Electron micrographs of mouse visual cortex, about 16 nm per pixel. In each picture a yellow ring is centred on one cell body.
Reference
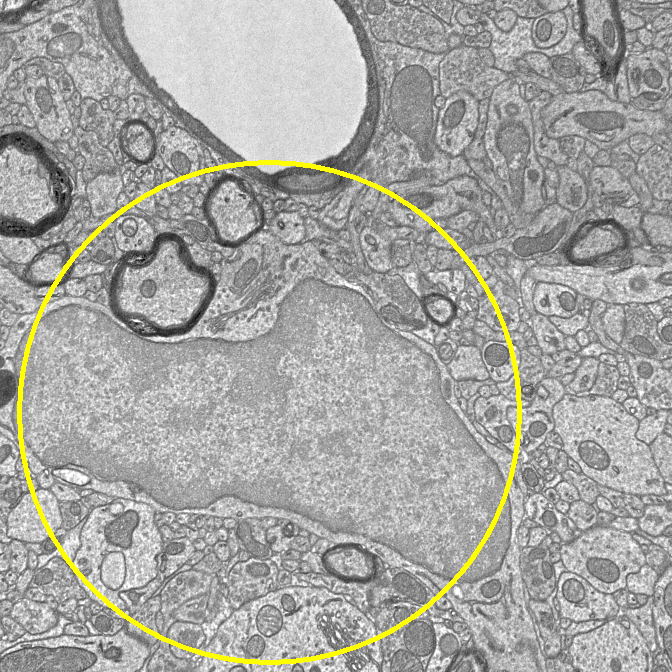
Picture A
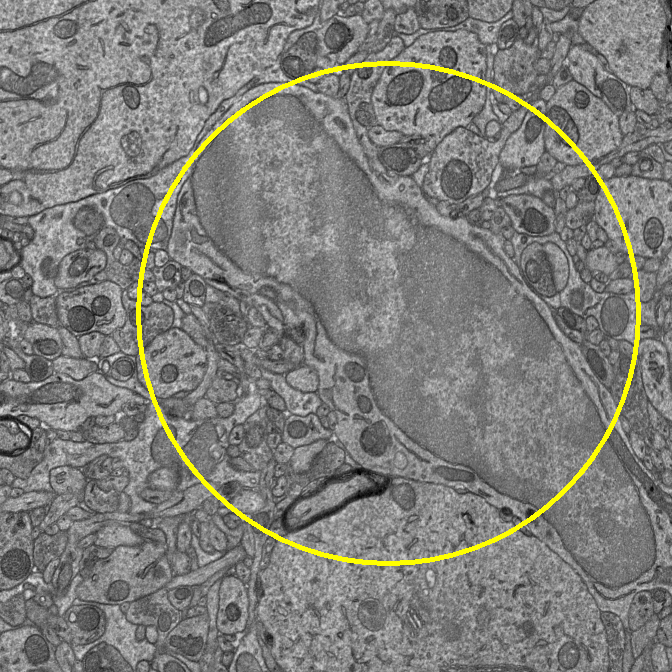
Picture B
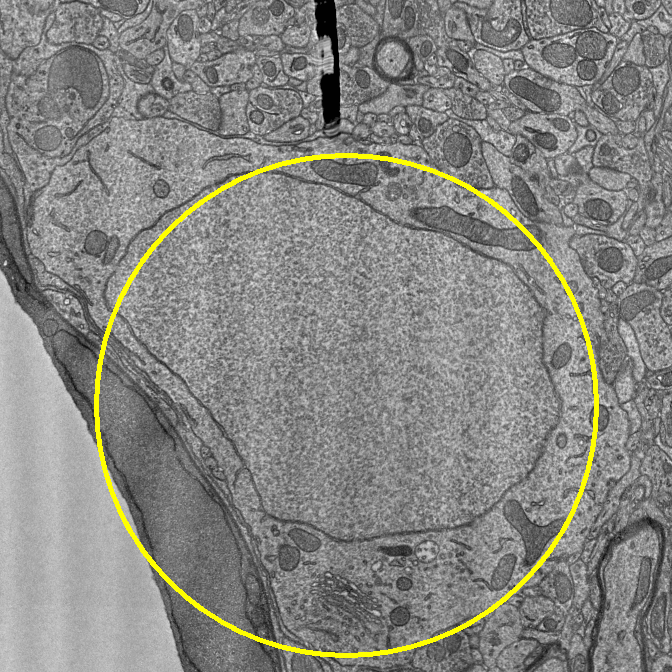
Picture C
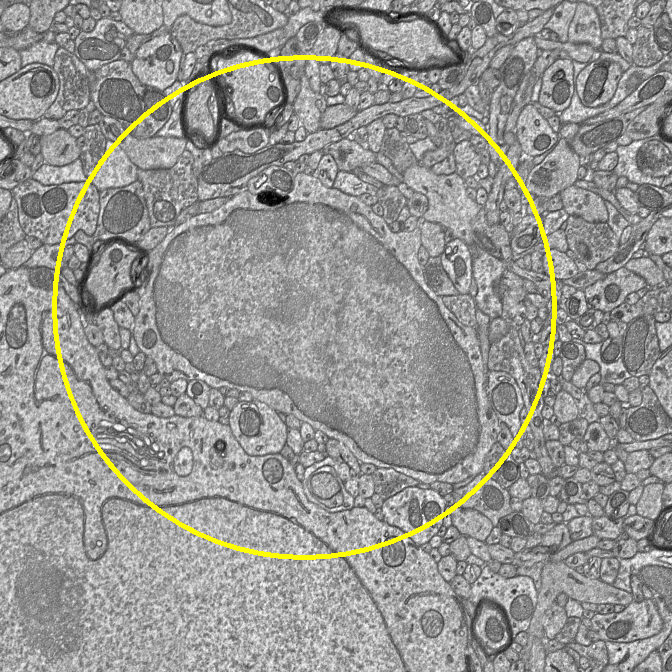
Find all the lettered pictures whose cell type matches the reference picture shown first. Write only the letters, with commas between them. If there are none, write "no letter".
A, C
